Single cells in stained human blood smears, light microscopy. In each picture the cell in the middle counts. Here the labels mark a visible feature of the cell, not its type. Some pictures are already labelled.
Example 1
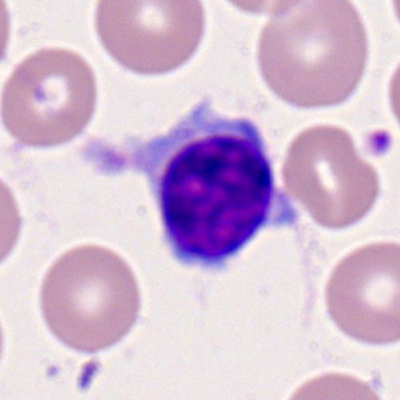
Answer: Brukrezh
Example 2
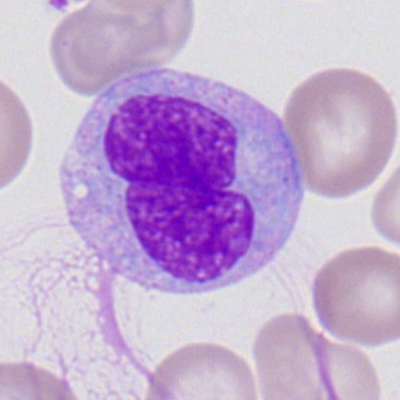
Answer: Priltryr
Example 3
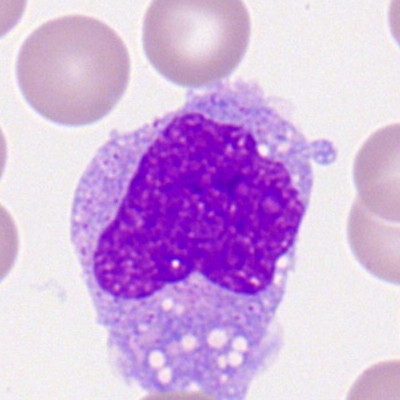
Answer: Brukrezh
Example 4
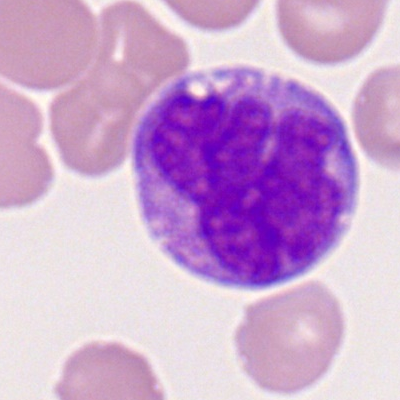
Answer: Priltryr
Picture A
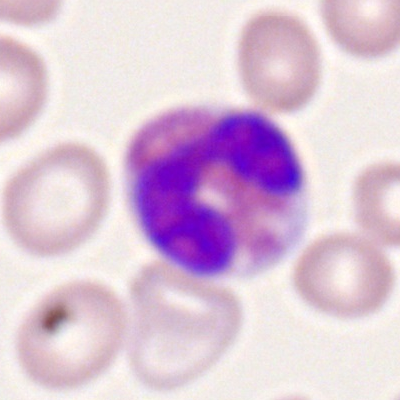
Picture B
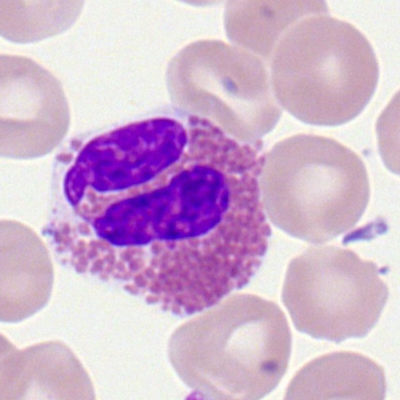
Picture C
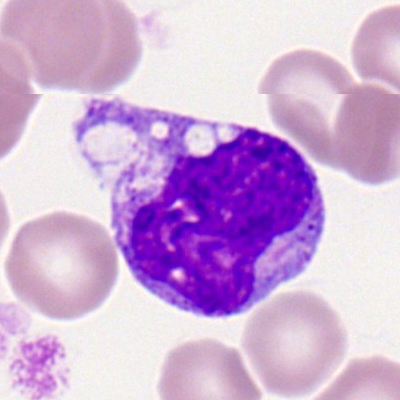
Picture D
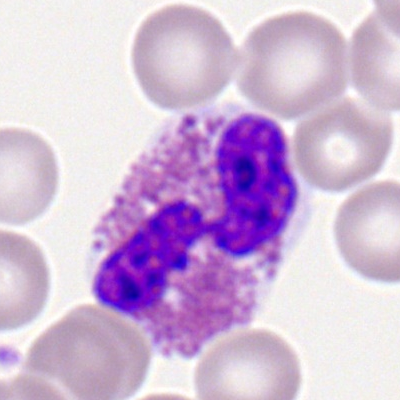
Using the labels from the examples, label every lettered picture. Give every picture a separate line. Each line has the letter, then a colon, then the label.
A: Priltryr
B: Brukrezh
C: Brukrezh
D: Priltryr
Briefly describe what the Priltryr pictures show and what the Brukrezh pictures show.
Seen in Priltryr: smooth outline; seen in Brukrezh: ragged outline or projections.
